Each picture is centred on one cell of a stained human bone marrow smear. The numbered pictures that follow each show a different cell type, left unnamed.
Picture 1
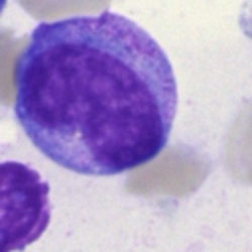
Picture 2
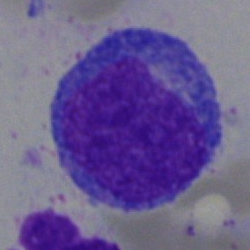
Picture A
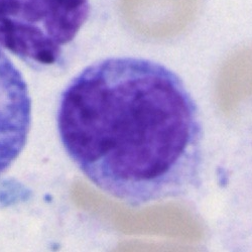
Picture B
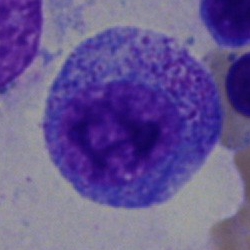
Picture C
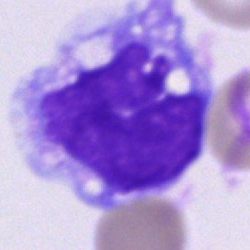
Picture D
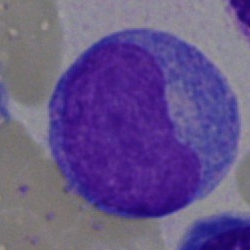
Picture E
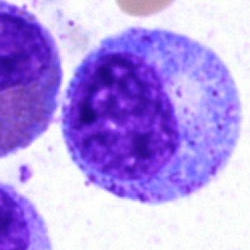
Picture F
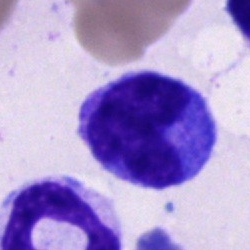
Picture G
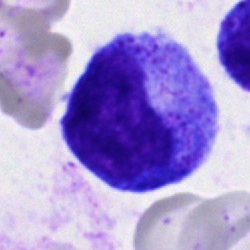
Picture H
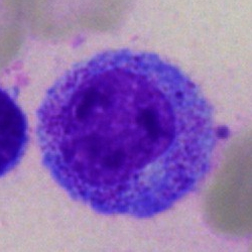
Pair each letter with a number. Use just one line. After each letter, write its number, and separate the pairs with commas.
A 1, B 2, C 1, D 2, E 2, F 1, G 2, H 2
